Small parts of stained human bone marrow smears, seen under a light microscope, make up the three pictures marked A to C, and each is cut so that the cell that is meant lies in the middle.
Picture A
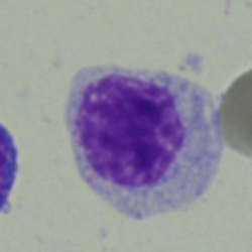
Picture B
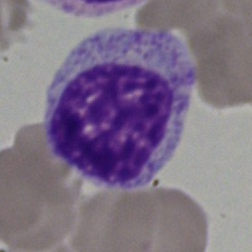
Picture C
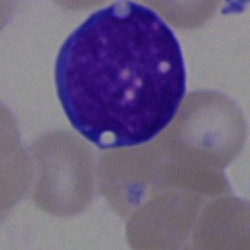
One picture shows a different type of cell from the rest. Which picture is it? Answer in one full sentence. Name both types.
All pictures except C show myelocytes; picture C shows a blast.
